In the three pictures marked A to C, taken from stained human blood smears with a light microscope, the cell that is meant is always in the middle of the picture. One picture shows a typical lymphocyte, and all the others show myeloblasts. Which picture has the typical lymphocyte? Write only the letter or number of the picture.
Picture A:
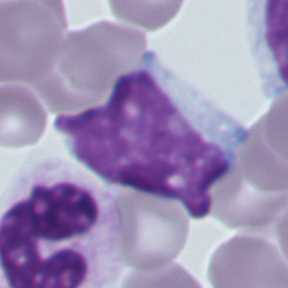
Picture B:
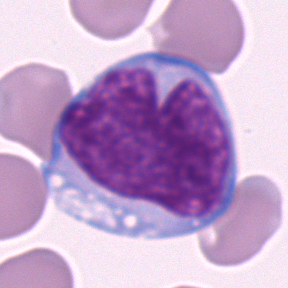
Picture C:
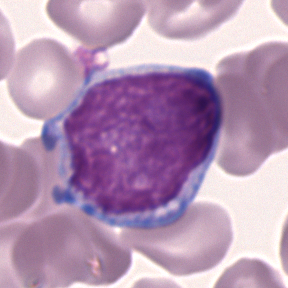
A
